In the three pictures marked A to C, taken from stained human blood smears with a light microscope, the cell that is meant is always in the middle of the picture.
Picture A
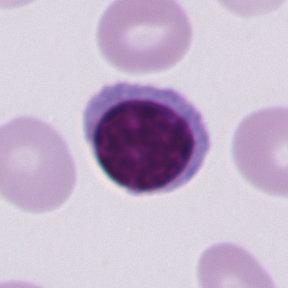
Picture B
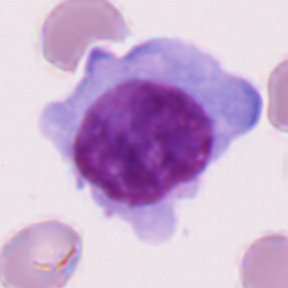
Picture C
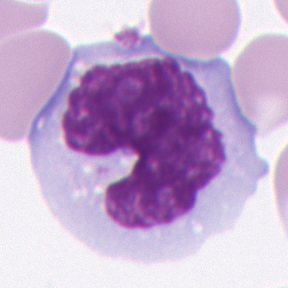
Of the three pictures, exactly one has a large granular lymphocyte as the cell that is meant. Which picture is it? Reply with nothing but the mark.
A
